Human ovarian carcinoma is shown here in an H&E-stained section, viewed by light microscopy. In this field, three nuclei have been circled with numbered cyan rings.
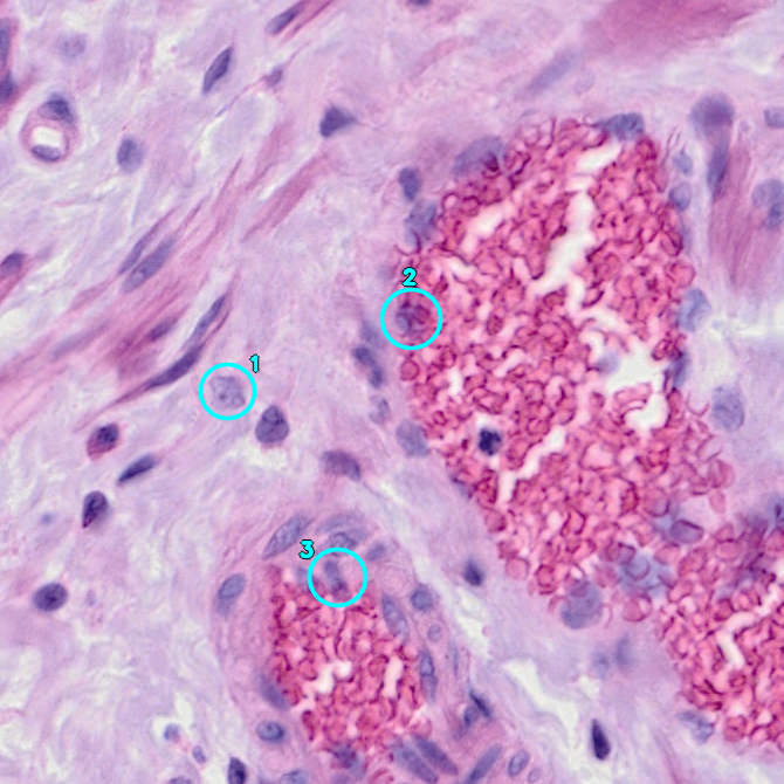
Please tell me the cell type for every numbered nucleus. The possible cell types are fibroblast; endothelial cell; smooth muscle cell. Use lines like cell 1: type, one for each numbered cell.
cell 1: fibroblast
cell 2: endothelial cell
cell 3: endothelial cell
